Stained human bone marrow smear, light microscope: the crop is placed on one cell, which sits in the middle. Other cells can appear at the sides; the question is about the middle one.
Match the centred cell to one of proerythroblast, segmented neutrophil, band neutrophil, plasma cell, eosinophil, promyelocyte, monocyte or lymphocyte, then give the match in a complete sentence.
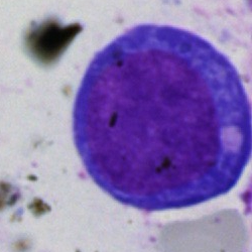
The cell around which this crop is centred is a proerythroblast.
